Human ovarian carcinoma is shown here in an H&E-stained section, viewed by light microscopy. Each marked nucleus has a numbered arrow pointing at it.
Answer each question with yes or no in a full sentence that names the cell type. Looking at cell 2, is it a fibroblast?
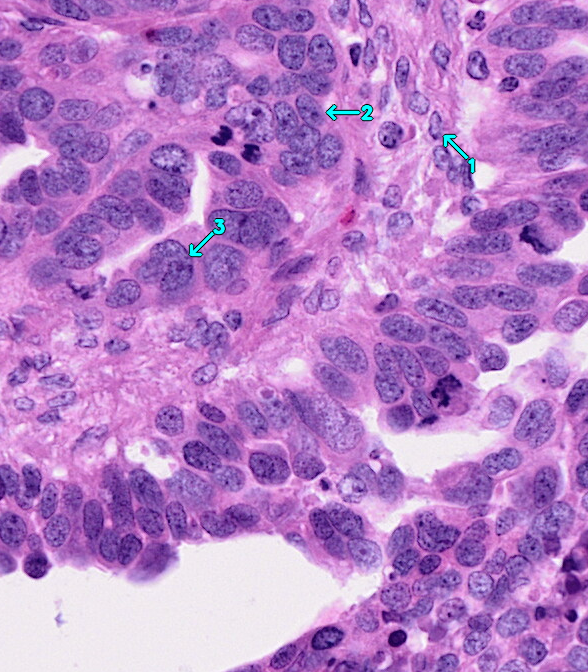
No, that is wrong: cell 2 is a carcinoma cell, and not a fibroblast.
